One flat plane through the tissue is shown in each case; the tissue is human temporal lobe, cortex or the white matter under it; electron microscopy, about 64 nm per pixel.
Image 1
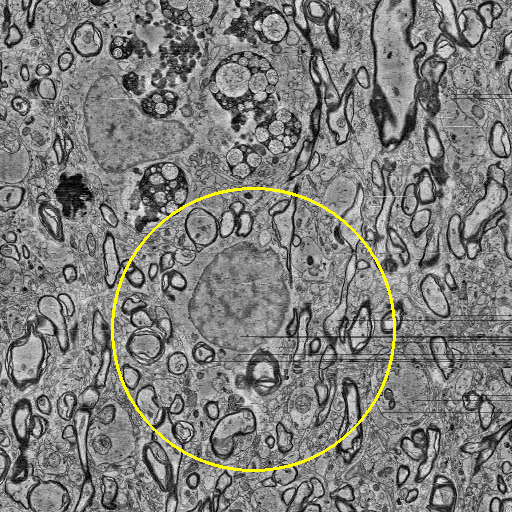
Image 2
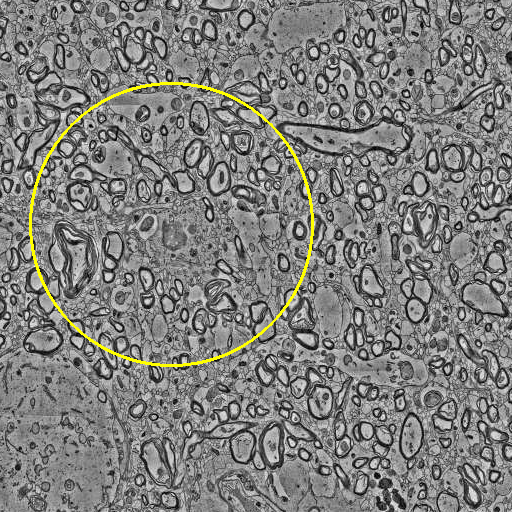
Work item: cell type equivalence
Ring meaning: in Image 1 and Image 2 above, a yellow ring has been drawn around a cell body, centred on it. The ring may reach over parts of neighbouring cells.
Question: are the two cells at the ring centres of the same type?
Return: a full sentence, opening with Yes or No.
Yes, the two centred cells are of the same type.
